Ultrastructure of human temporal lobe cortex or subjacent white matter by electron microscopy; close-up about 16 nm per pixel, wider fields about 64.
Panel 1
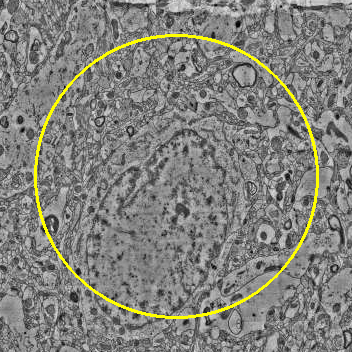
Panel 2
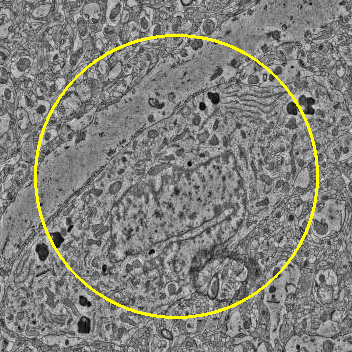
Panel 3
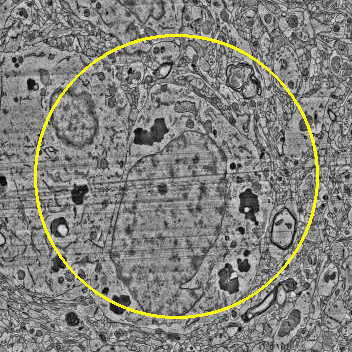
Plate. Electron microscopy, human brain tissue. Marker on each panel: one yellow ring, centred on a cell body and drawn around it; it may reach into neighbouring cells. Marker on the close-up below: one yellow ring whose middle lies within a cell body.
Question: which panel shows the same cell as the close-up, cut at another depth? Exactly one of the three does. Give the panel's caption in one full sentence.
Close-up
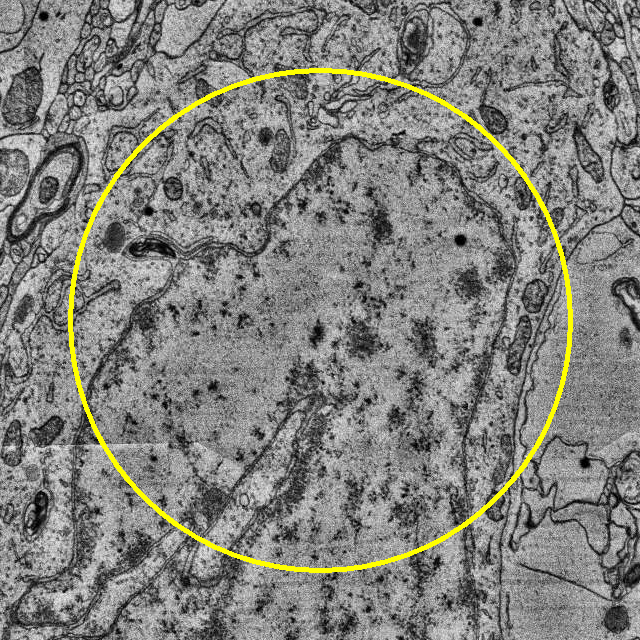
The cell marked in Panel 1 is the one enlarged in the close-up.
